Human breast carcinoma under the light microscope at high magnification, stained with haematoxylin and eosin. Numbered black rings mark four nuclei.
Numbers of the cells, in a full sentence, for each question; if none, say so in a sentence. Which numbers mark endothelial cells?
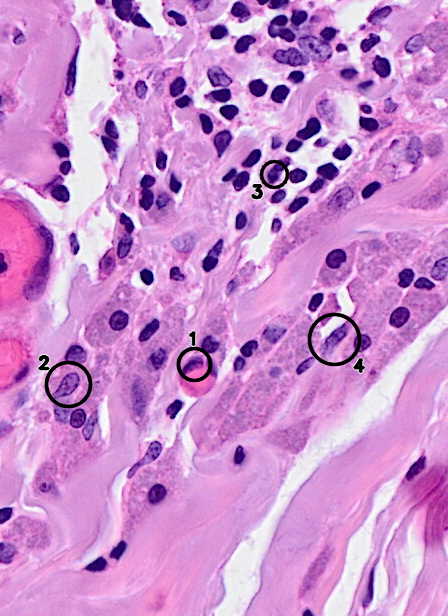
Of all the numbered cells, only cell 1 is an endothelial cell.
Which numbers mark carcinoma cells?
No numbered nucleus belongs to one of the carcinoma cells.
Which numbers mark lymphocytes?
Where the numbered cells are concerned, only number 3 is a lymphocyte.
